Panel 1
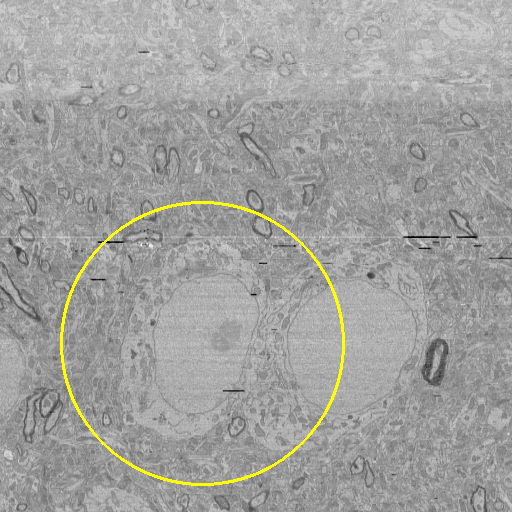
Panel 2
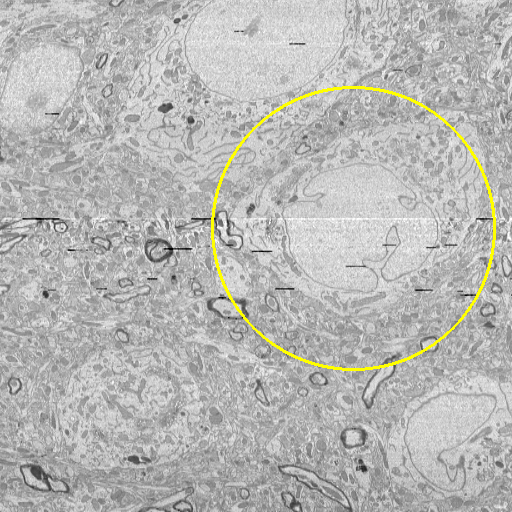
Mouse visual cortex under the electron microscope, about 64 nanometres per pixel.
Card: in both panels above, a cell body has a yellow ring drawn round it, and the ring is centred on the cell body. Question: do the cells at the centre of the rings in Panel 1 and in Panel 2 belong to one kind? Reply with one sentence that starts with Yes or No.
Yes, the cells centred in the rings of Panel 1 and Panel 2 are one kind of cell.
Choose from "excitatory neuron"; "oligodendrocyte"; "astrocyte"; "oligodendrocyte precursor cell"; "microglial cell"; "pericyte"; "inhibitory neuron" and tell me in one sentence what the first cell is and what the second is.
Both pictures show an excitatory neuron at the centre of the ring.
